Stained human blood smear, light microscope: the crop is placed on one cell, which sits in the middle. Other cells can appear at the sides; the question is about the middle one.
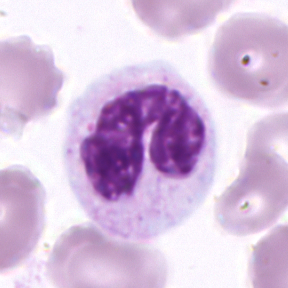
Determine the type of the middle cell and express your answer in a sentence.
Answering briefly, the cell in the middle is a band neutrophil.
